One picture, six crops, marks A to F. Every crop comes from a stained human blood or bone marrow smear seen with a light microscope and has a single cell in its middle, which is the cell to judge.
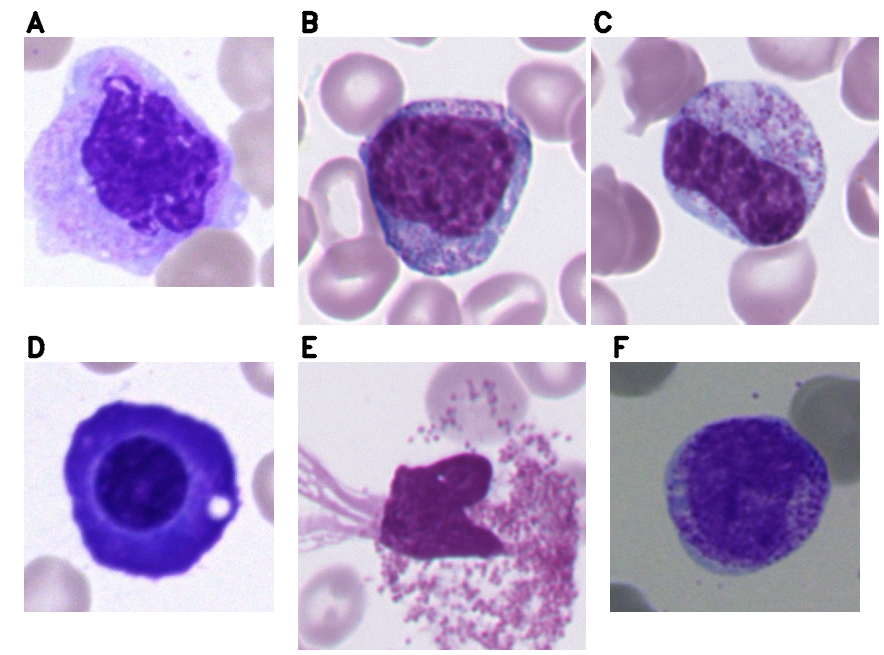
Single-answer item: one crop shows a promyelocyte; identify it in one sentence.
Crop B is the one in the set with a promyelocyte at the center.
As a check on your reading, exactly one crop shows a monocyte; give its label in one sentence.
Crop A shows a monocyte, and no other crop does.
